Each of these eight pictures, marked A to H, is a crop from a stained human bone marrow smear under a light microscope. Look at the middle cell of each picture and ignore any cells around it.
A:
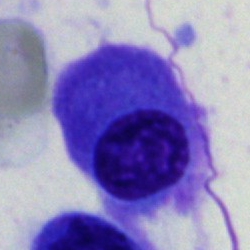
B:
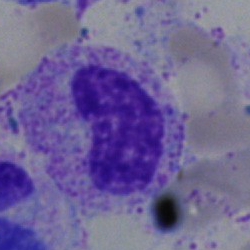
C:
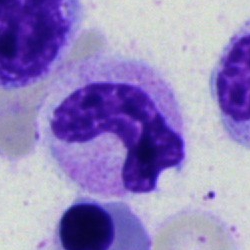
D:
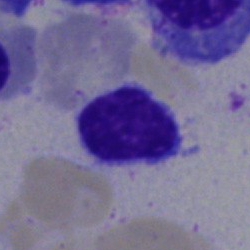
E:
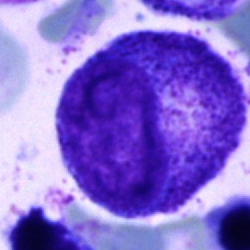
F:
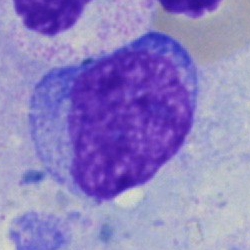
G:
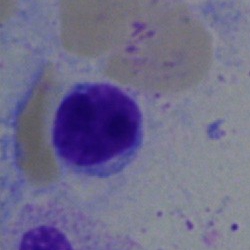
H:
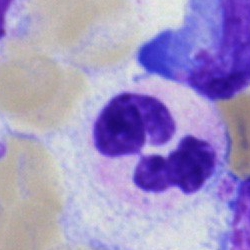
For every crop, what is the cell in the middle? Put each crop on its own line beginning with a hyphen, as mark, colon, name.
- A: plasma cell
- B: metamyelocyte
- C: band neutrophil
- D: lymphocyte
- E: myelocyte
- F: blast
- G: lymphocyte
- H: segmented neutrophil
